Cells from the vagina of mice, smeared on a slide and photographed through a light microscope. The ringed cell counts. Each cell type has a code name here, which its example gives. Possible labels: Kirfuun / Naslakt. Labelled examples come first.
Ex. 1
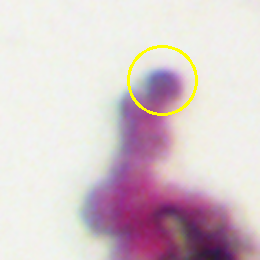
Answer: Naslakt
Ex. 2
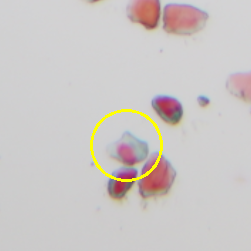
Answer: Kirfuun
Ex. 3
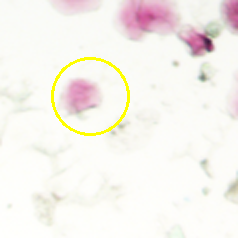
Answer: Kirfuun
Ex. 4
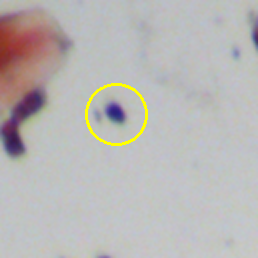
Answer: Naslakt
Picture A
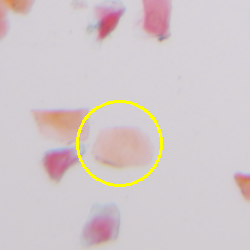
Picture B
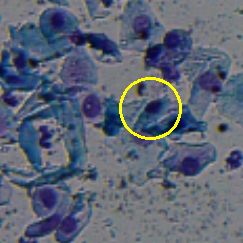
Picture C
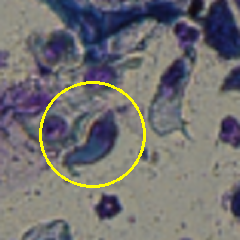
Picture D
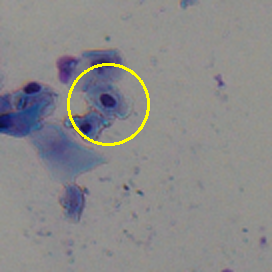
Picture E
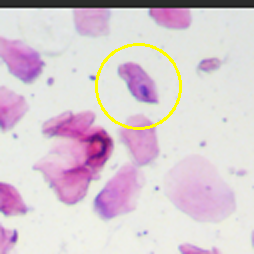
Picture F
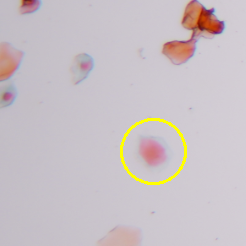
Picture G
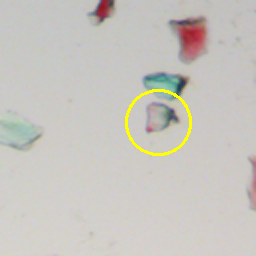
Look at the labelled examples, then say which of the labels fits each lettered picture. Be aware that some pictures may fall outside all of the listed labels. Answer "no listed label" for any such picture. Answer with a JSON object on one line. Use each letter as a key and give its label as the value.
{"A": "no listed label", "B": "Kirfuun", "C": "Kirfuun", "D": "Kirfuun", "E": "Kirfuun", "F": "Kirfuun", "G": "no listed label"}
